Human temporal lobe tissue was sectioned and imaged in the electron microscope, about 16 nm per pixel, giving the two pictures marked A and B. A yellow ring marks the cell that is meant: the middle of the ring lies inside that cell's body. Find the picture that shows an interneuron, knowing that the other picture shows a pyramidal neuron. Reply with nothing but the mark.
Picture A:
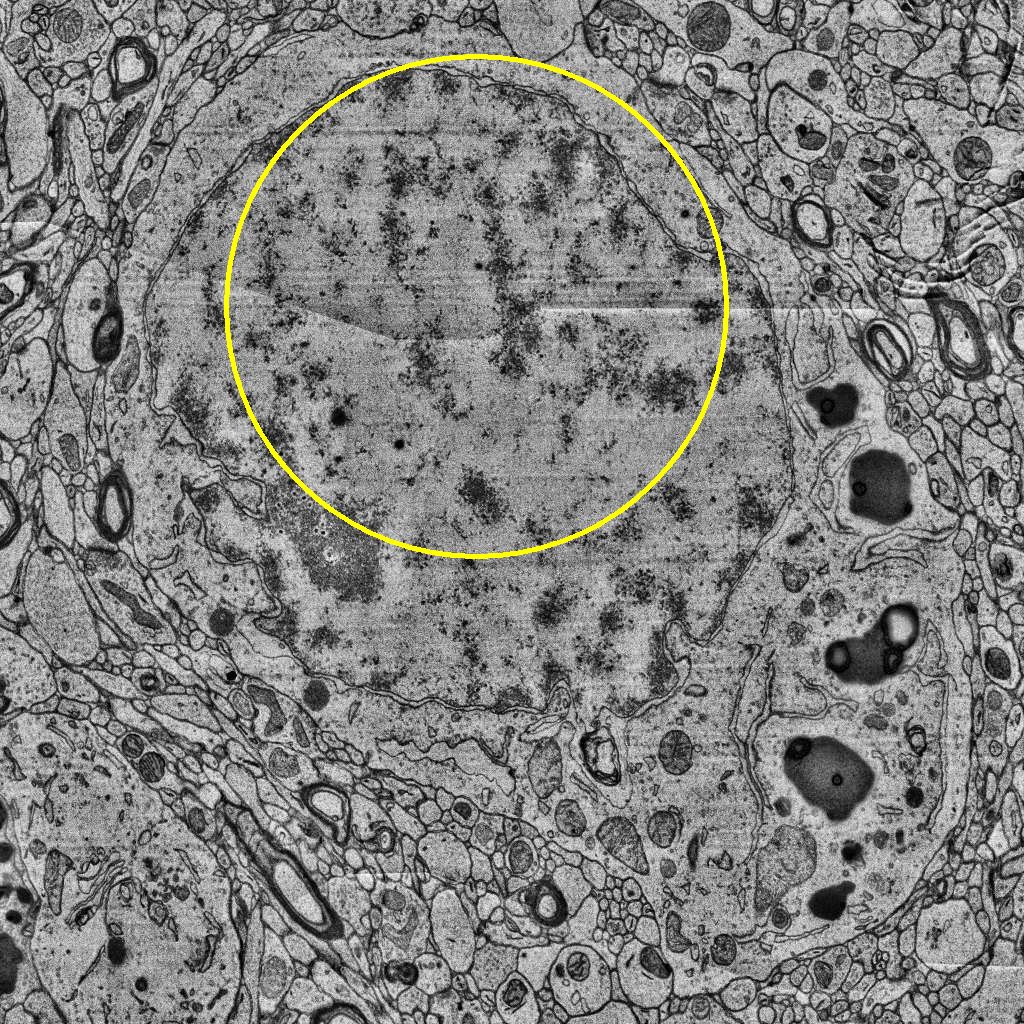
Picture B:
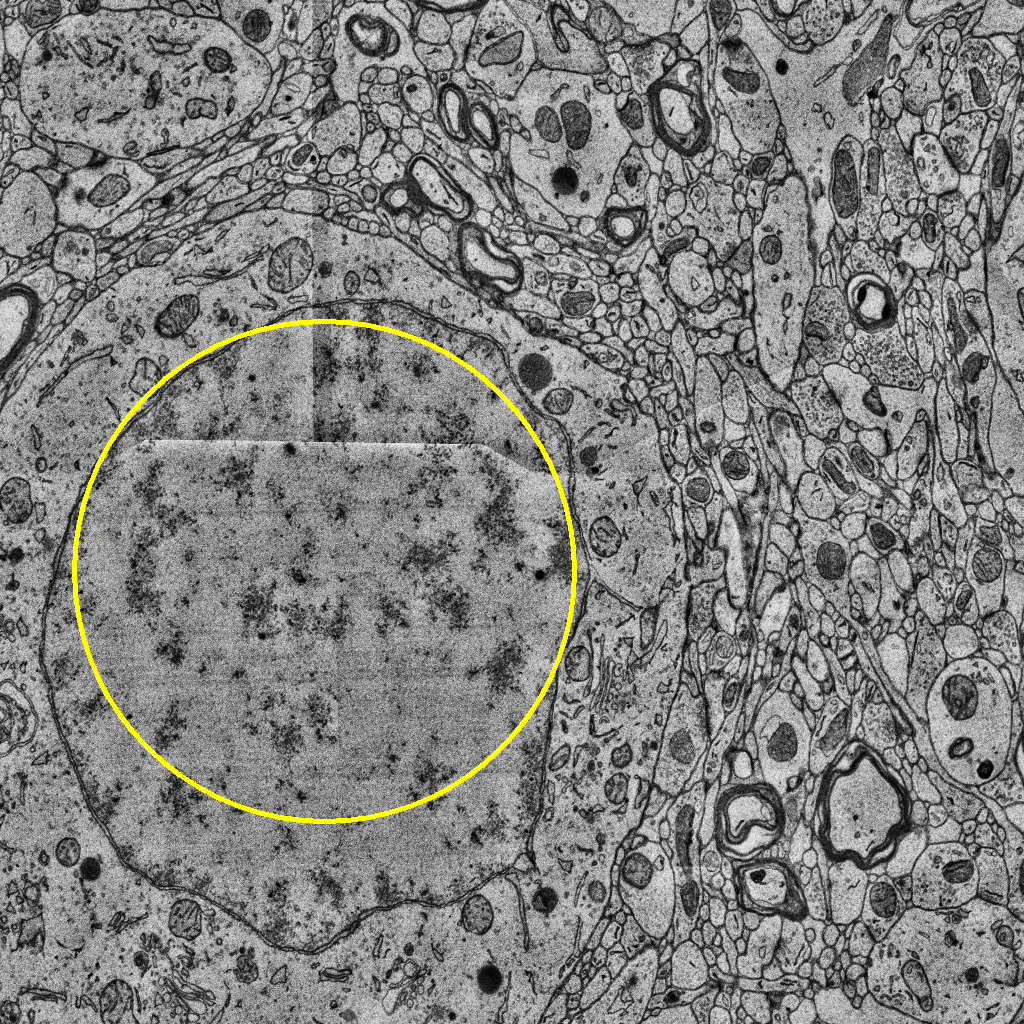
A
